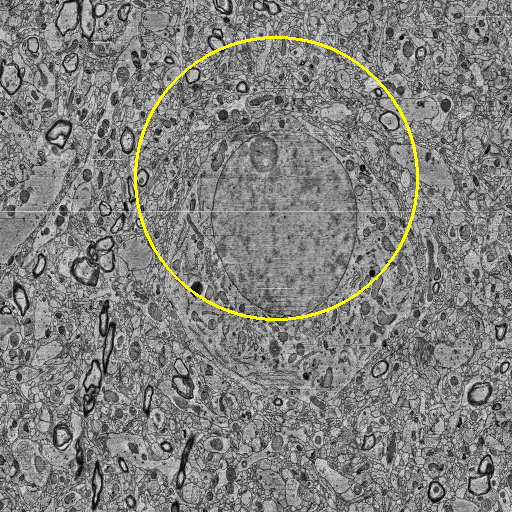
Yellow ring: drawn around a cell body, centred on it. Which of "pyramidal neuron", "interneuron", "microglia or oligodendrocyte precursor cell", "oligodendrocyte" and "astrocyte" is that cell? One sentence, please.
That cell body is from an interneuron.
